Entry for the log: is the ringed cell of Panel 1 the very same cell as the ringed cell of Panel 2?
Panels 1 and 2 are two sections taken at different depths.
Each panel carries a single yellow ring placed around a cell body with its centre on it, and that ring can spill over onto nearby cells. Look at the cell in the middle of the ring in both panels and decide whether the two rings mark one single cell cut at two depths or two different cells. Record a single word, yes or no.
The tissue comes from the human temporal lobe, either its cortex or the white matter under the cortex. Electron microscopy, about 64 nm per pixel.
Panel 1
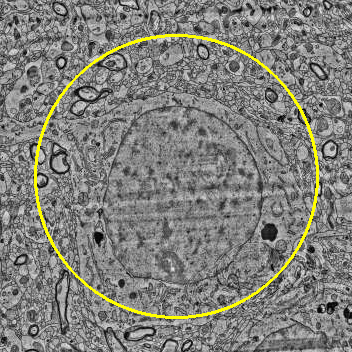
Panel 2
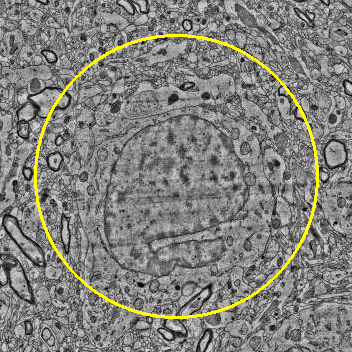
yes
